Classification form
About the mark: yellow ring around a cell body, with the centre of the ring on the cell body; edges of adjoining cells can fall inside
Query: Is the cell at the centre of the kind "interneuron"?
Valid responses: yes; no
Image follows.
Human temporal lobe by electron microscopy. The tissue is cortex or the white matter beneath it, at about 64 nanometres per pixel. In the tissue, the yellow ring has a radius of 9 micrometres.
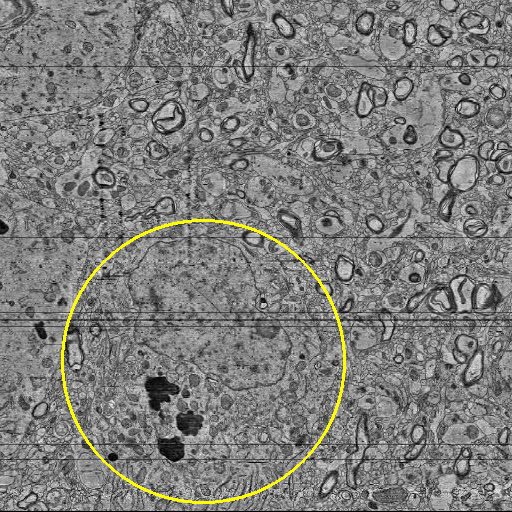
yes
